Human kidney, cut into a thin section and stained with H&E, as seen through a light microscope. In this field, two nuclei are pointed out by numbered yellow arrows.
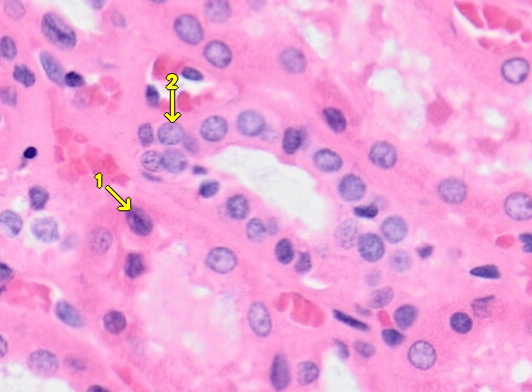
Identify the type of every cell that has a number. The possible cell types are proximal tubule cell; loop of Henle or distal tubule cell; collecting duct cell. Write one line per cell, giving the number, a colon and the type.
1: proximal tubule cell
2: collecting duct cell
